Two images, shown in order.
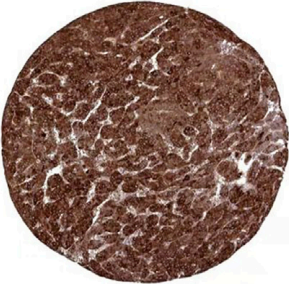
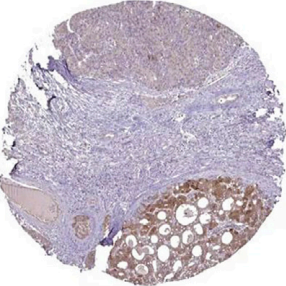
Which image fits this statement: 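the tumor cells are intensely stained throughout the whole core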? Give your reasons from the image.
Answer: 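The first image. Second image: only the tumor nest at the bottom is brown; the rest of the core is mostly blue-purple stroma and weakly stained tumor. First image: almost the whole core is deep dark brown, with only thin pale spaces between cell plates.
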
